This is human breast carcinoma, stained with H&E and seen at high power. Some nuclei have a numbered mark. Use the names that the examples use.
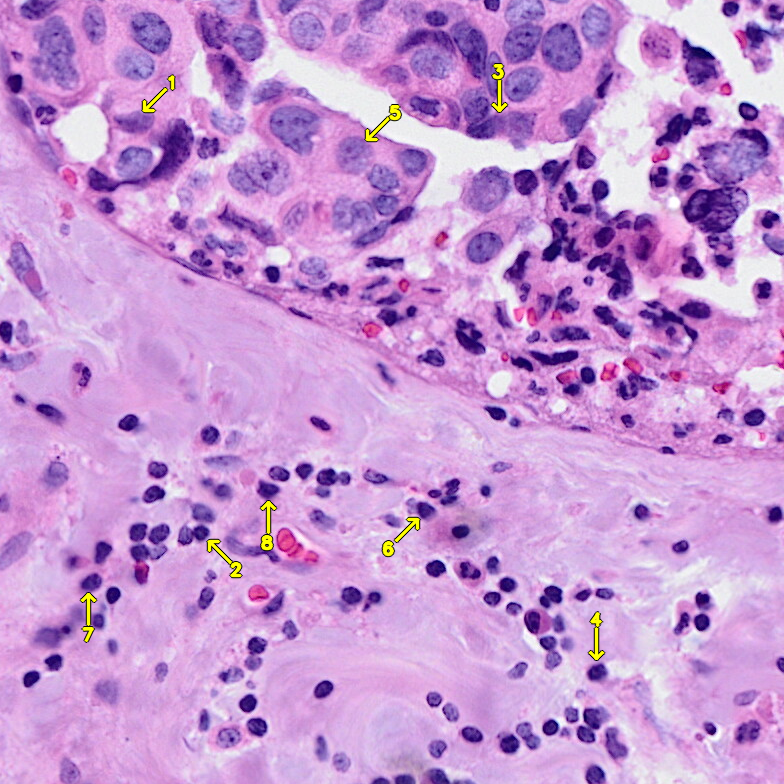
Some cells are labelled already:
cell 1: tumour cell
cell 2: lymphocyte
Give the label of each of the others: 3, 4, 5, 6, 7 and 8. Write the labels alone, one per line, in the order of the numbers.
tumour cell
lymphocyte
tumour cell
lymphocyte
lymphocyte
lymphocyte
